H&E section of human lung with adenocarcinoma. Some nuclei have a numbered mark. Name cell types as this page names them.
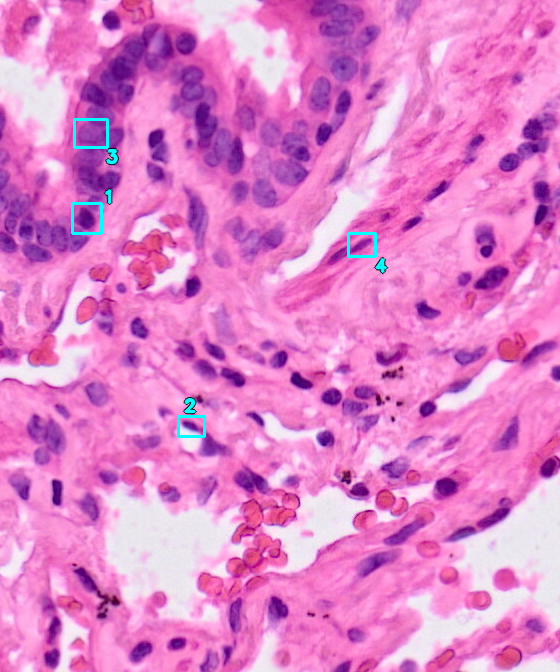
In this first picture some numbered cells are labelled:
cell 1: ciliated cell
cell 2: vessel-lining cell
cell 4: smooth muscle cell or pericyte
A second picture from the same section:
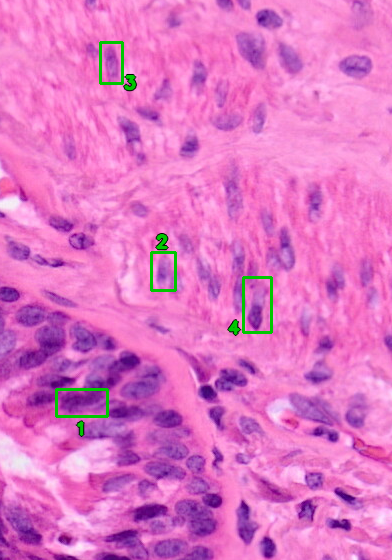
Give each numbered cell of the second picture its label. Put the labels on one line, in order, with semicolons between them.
ciliated cell; smooth muscle cell or pericyte; smooth muscle cell or pericyte; smooth muscle cell or pericyte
